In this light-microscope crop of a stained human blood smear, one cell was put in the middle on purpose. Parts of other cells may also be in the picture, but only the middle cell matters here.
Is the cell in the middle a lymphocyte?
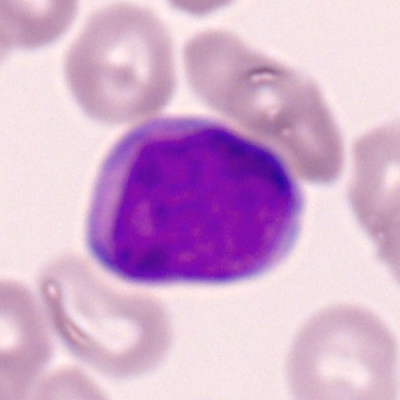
no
